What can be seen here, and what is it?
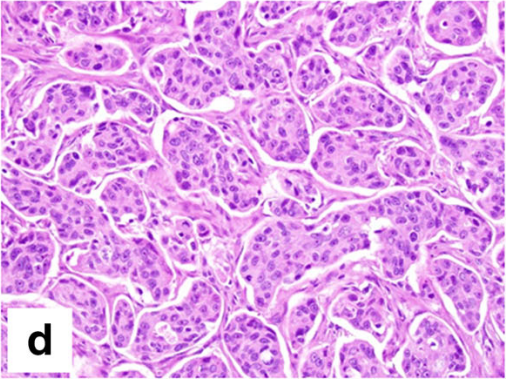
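Micropapillary growth pattern of carcinoma: small rounded clusters of tumor cells each lying in a clear space rimmed by thin pink stroma. The cells have large round nuclei with nucleoli and pink cytoplasm, and the clusters lack stromal cores.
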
